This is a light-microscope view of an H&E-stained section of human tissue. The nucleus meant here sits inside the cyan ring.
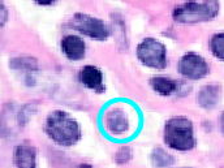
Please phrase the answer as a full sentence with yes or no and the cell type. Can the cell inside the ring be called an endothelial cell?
No, the cell inside the ring is a lymphocyte; calling it an endothelial cell would be wrong.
